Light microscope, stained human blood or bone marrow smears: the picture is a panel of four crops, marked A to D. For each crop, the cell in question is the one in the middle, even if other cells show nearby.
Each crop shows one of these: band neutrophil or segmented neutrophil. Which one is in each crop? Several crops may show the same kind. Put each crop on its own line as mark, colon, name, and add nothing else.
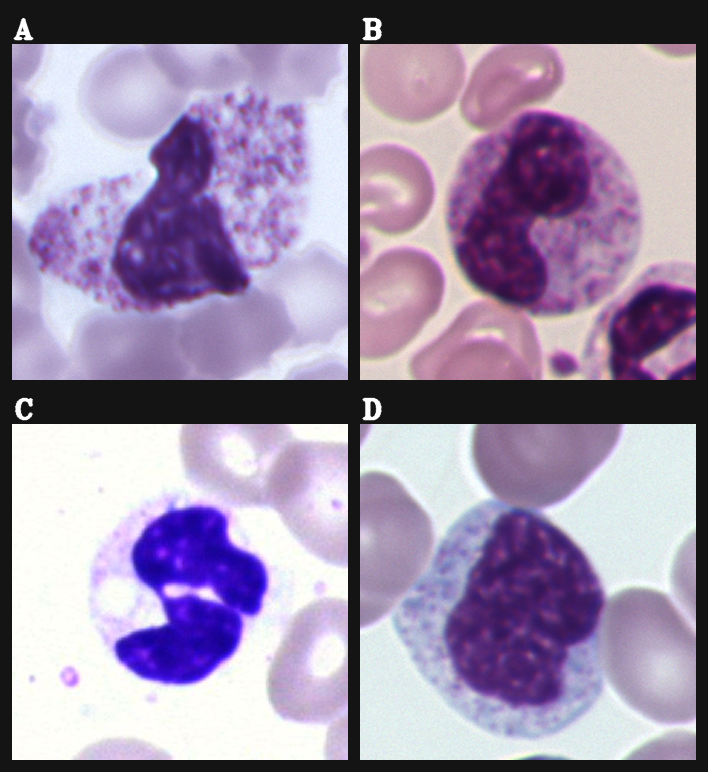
A: segmented neutrophil
B: band neutrophil
C: segmented neutrophil
D: band neutrophil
